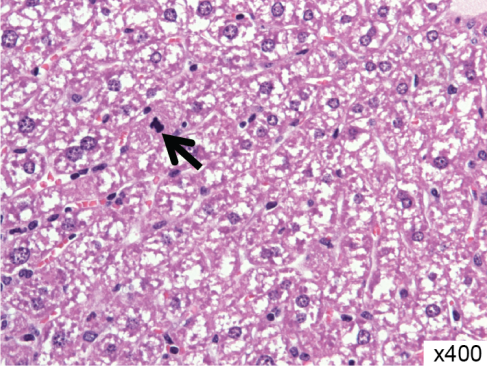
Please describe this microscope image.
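This is liver parenchyma made of hepatocytes arranged in cords, with pale, finely vacuolated pink cytoplasm and round nuclei that show a dark nucleolus. Among them one cell is in mitosis: its chromatin is condensed into dark purple clumps instead of forming a rounded nucleus. Small dark elongated nuclei between the cords belong to cells lining the sinusoids, where a few red blood cells are seen.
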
